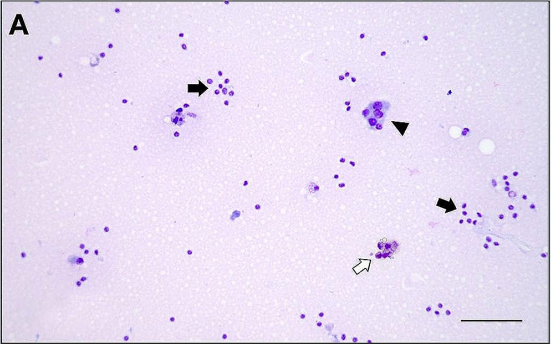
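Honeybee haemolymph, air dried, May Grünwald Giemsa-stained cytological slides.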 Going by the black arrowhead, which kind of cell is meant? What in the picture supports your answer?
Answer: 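A larger cell cluster with paler bluish cytoplasm. It stands out from the many small dark cells scattered around.
Hence: plasmatocytes.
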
